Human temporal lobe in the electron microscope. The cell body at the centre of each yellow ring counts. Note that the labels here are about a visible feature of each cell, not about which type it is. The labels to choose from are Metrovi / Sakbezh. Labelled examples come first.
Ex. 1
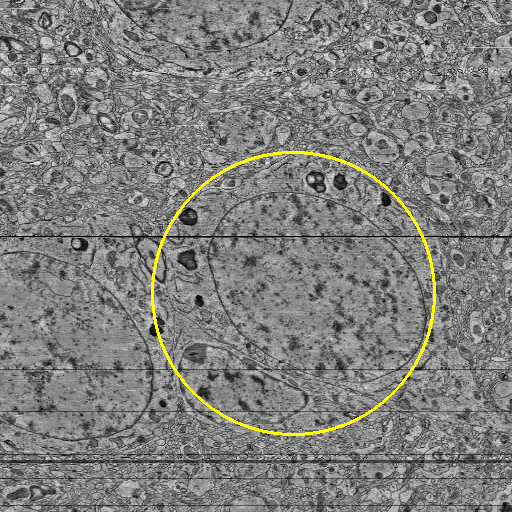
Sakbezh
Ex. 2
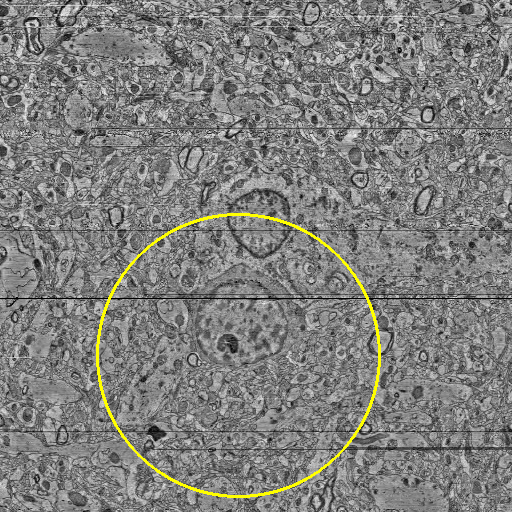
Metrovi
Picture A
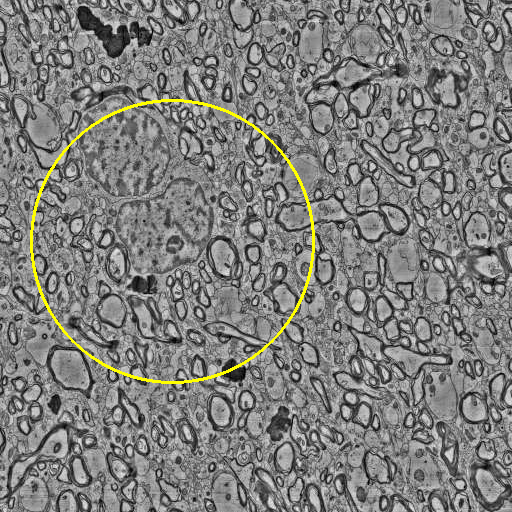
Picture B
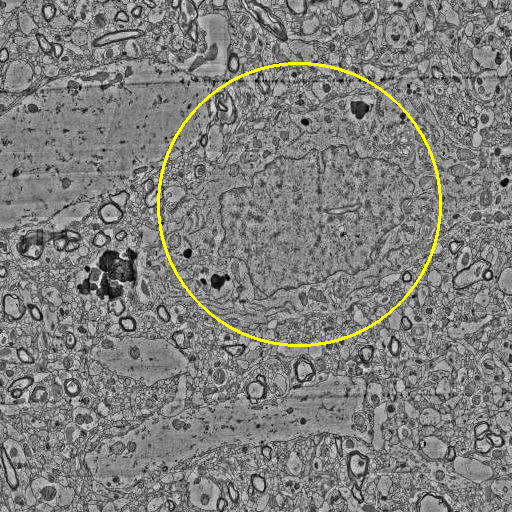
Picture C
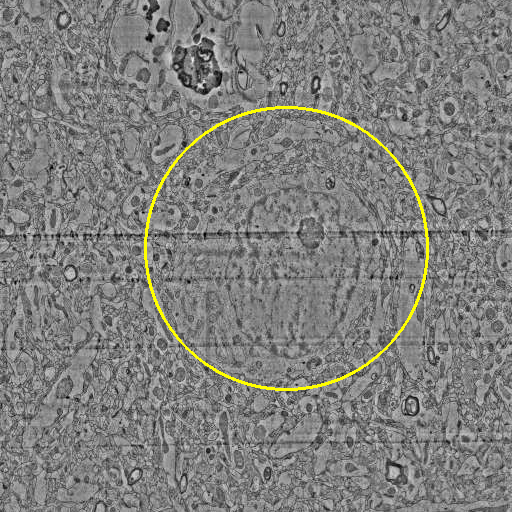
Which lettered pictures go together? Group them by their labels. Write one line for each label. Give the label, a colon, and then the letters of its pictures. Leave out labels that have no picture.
Metrovi: A, C
Sakbezh: B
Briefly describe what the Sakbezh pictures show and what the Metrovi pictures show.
In Sakbezh: no nucleolus seen. In Metrovi: nucleolus seen.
